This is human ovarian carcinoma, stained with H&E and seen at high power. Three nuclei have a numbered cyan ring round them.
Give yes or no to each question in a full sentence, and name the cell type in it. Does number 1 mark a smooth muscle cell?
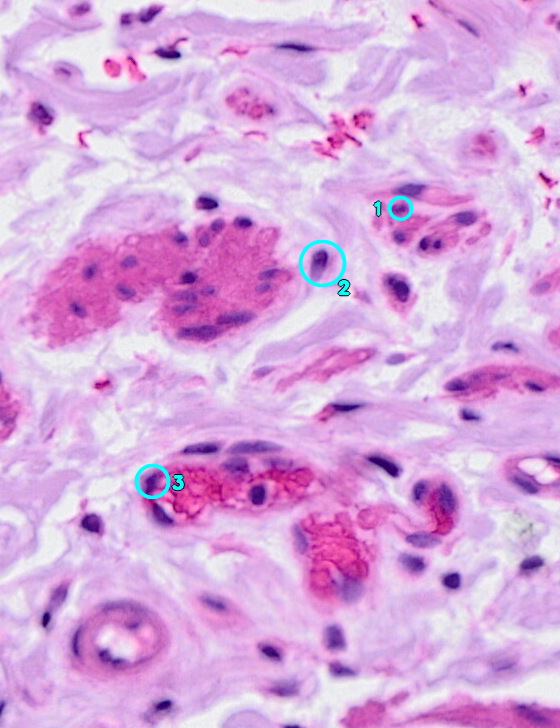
Yes, in this section the cell numbered 1 is a smooth muscle cell.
